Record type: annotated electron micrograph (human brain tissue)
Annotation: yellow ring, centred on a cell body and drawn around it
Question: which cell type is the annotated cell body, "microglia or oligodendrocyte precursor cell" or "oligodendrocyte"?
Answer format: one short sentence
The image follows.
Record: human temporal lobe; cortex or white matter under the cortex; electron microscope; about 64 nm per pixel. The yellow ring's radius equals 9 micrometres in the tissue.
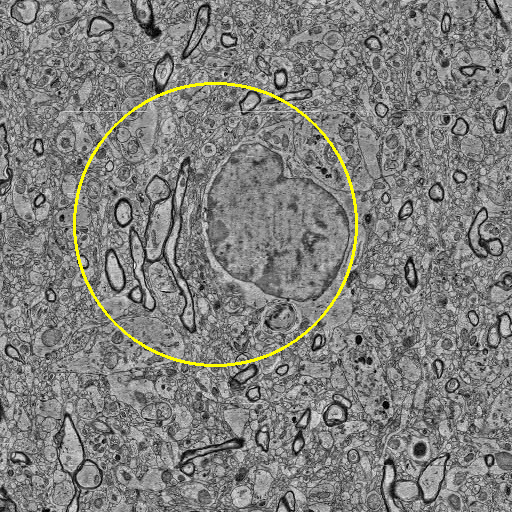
The annotated cell body is that of a microglial cell or oligodendrocyte precursor cell.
